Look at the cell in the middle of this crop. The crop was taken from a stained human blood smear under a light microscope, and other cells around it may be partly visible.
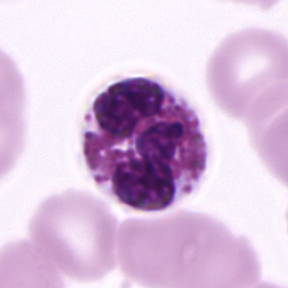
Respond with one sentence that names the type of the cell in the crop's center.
Answering briefly, the cell in the middle is an eosinophil.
